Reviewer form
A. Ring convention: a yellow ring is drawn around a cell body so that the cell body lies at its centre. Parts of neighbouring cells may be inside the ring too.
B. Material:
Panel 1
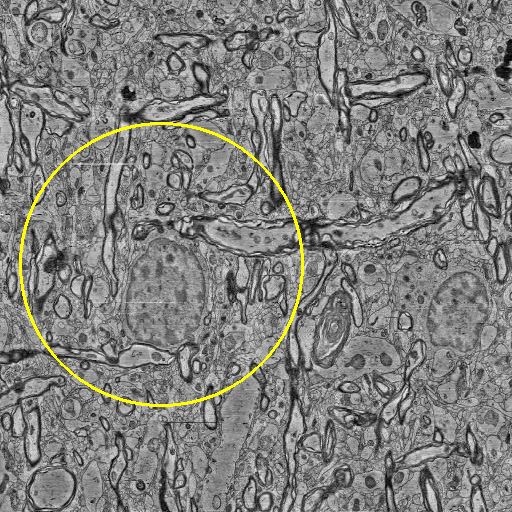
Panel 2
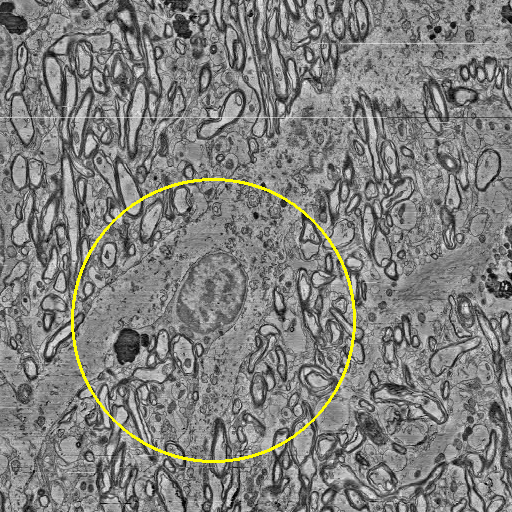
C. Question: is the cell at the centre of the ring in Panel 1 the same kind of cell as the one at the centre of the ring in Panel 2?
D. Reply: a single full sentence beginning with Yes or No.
Yes, the cells in Panel 1 and Panel 2 are the same kind of cell.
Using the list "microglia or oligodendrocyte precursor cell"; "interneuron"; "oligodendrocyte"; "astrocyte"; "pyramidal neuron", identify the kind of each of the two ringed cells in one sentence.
The first and the second cell are each an oligodendrocyte.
